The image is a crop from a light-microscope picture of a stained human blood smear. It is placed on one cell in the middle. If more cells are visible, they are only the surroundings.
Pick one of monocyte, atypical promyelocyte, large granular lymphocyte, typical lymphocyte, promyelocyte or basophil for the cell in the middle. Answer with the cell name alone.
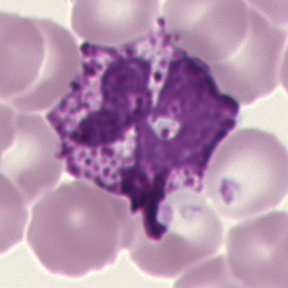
basophil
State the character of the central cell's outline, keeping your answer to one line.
Projections or ragged segments give this cell an irregular rather than smooth border.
